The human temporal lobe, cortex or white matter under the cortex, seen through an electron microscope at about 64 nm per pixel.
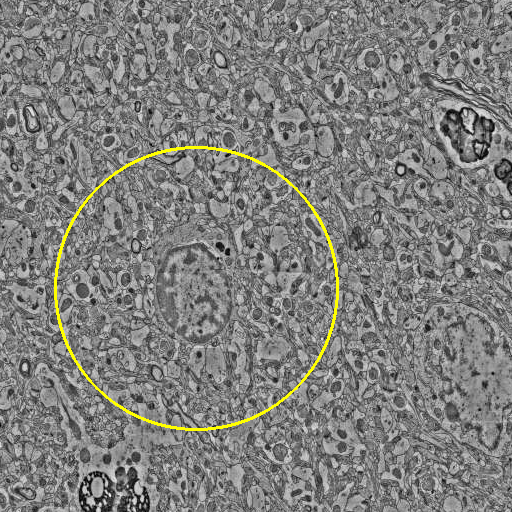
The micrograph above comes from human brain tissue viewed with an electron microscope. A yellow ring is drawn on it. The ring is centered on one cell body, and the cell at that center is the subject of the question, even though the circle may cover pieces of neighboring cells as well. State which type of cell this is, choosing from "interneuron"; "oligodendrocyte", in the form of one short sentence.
The cell the ring is centered on is an oligodendrocyte.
